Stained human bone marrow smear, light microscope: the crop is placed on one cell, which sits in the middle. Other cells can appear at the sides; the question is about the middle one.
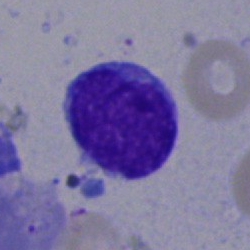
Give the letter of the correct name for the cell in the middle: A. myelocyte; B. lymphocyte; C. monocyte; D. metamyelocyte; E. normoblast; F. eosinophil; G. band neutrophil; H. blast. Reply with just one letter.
H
